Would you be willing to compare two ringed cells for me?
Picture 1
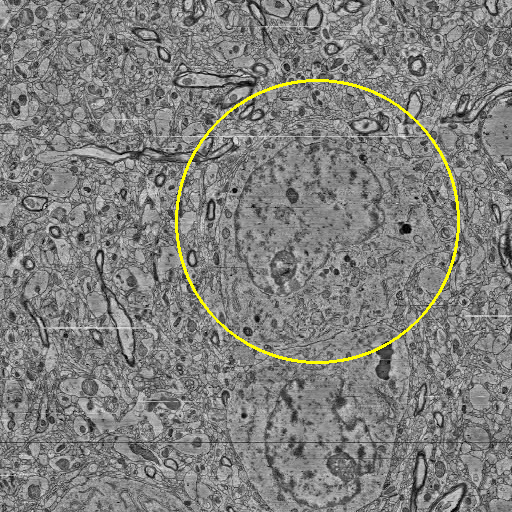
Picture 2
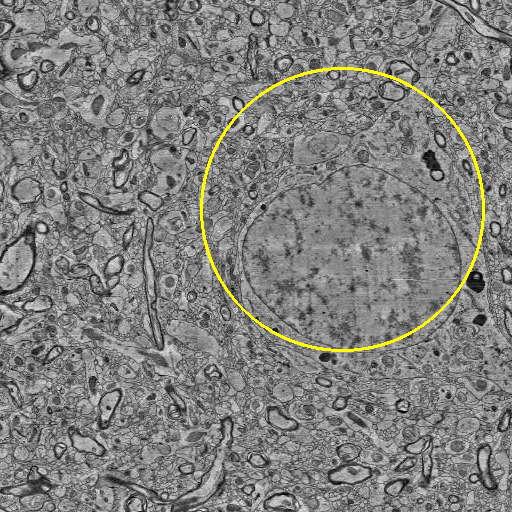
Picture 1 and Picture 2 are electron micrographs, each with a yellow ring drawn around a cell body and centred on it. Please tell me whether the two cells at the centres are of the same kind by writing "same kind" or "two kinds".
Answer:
two kinds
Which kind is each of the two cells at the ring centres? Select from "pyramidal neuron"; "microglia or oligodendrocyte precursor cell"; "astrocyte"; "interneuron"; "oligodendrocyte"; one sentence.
The cell at the centre of the ring is an interneuron in the first picture and a pyramidal neuron in the second.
